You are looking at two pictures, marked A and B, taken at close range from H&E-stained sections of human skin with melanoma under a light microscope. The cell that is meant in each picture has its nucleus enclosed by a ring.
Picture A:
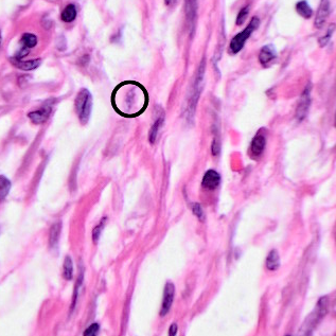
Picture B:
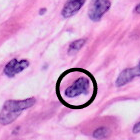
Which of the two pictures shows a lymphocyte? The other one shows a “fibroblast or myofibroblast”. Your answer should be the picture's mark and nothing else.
B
